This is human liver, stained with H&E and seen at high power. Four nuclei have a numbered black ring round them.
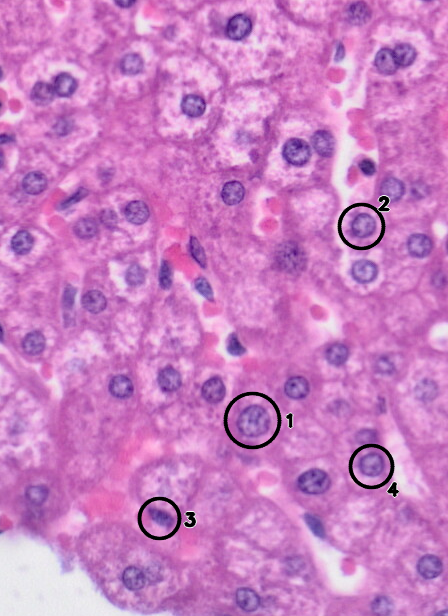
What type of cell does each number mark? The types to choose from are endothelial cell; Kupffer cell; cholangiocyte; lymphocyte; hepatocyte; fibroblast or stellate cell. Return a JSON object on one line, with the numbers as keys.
{"1": "hepatocyte", "2": "hepatocyte", "3": "fibroblast or stellate cell", "4": "hepatocyte"}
